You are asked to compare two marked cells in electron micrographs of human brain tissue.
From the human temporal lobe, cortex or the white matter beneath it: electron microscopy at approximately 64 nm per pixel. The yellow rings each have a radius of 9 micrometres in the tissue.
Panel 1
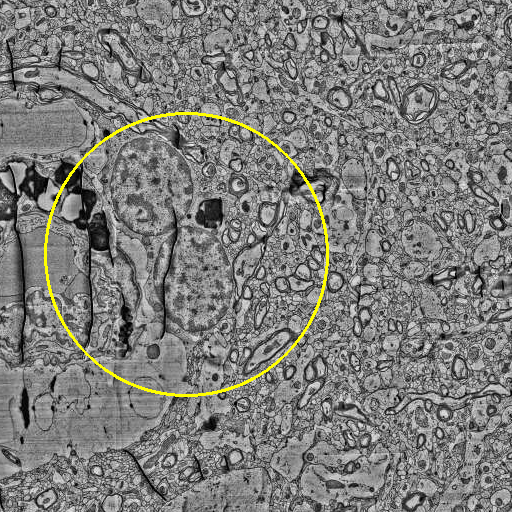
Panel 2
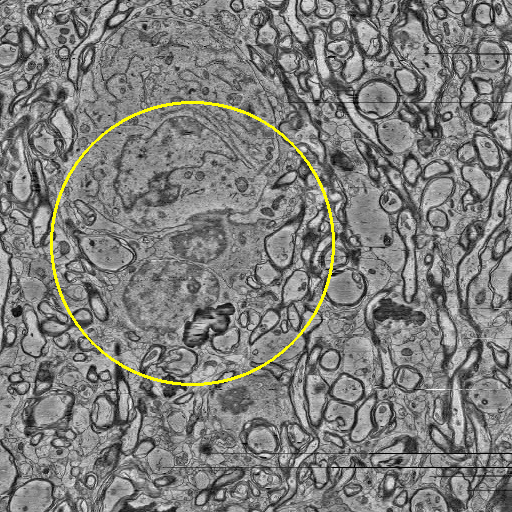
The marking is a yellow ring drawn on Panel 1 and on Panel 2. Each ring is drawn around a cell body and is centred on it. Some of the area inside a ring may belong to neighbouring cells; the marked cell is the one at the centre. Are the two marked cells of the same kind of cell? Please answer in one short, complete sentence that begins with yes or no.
Yes, the two marked cells are of the same kind.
